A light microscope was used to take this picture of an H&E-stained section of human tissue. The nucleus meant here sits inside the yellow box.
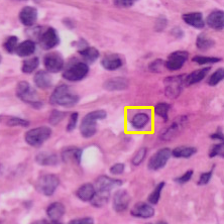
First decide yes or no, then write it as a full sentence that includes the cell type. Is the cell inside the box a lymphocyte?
Yes, regarding cell type, the cell inside the box is a lymphocyte.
